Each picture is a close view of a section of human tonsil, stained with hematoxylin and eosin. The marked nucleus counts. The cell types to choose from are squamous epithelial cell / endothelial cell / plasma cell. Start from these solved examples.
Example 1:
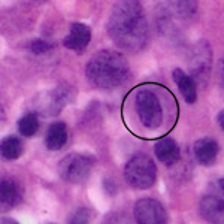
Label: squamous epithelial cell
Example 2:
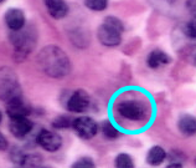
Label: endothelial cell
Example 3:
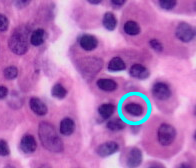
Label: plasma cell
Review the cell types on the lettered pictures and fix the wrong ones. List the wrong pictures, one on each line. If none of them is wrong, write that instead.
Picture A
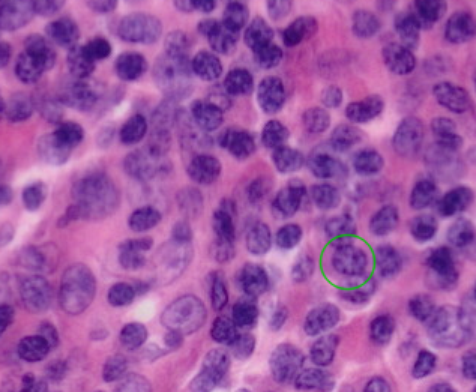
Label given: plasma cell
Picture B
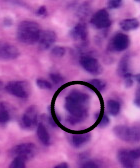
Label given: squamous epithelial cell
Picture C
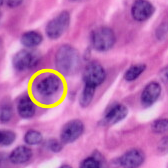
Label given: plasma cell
Every label is right.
